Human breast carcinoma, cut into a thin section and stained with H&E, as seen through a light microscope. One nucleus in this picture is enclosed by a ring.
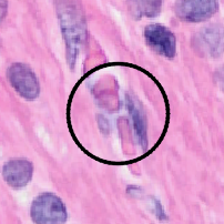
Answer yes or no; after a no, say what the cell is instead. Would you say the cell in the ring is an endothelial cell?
Yes.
